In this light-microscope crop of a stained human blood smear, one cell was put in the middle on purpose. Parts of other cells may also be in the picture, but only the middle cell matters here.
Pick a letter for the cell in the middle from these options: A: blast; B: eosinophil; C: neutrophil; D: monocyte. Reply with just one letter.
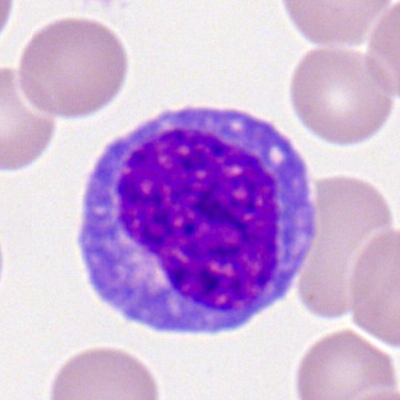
D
